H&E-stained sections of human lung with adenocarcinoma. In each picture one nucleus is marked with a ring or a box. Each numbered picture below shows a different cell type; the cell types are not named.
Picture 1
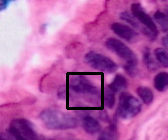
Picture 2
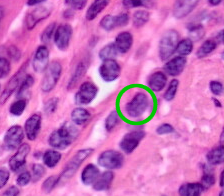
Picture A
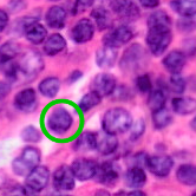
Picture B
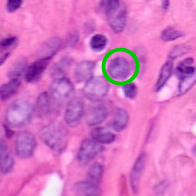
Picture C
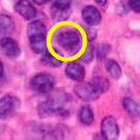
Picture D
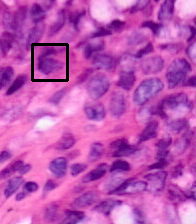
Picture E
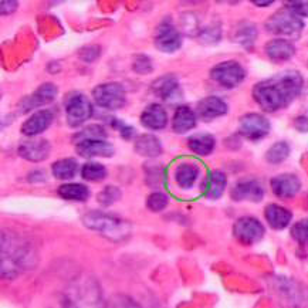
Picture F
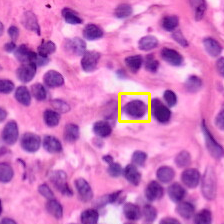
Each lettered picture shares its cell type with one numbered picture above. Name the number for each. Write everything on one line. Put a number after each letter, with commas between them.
A 2, B 1, C 2, D 1, E 2, F 2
